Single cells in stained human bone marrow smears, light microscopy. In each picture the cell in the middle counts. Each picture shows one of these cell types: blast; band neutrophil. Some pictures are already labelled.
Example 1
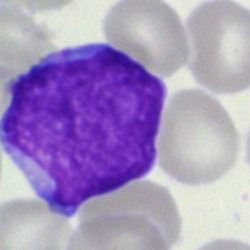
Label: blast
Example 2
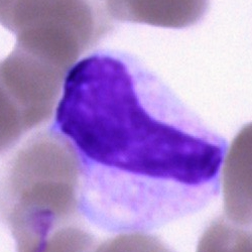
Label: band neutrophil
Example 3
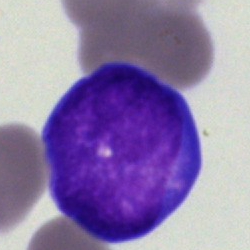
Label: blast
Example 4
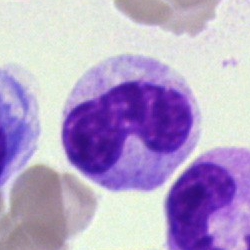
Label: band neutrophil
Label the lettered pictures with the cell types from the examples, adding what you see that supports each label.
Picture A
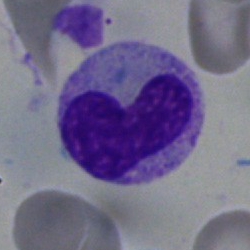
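band neutrophil. Fine purple granules are scattered through the cytoplasm.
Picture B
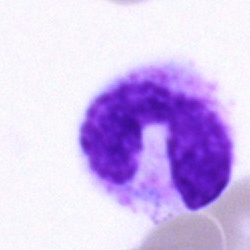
band neutrophil. The nucleus is curved into a horseshoe shape that opens toward the bottom of the picture.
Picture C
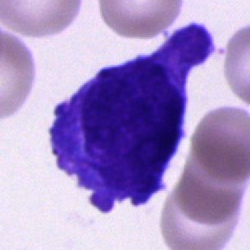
blast. The cytoplasm is scant and stains deep blue.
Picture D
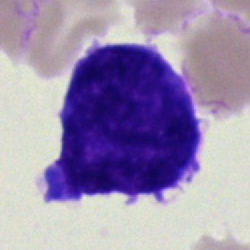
blast. Cytoplasm is scant and stains deep blue.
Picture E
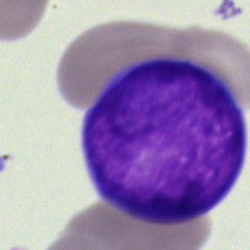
blast. The nucleus fills almost the whole cell, leaving at most a very thin dark-blue rim of cytoplasm.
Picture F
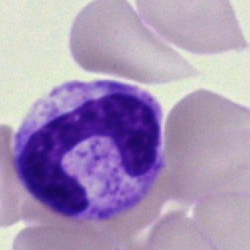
band neutrophil. The chromatin is dark purple and dense with coarse clumps.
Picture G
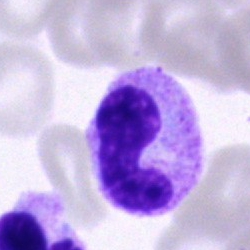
band neutrophil. The nucleus is curved like a horseshoe, with a deep indentation opening to the right.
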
